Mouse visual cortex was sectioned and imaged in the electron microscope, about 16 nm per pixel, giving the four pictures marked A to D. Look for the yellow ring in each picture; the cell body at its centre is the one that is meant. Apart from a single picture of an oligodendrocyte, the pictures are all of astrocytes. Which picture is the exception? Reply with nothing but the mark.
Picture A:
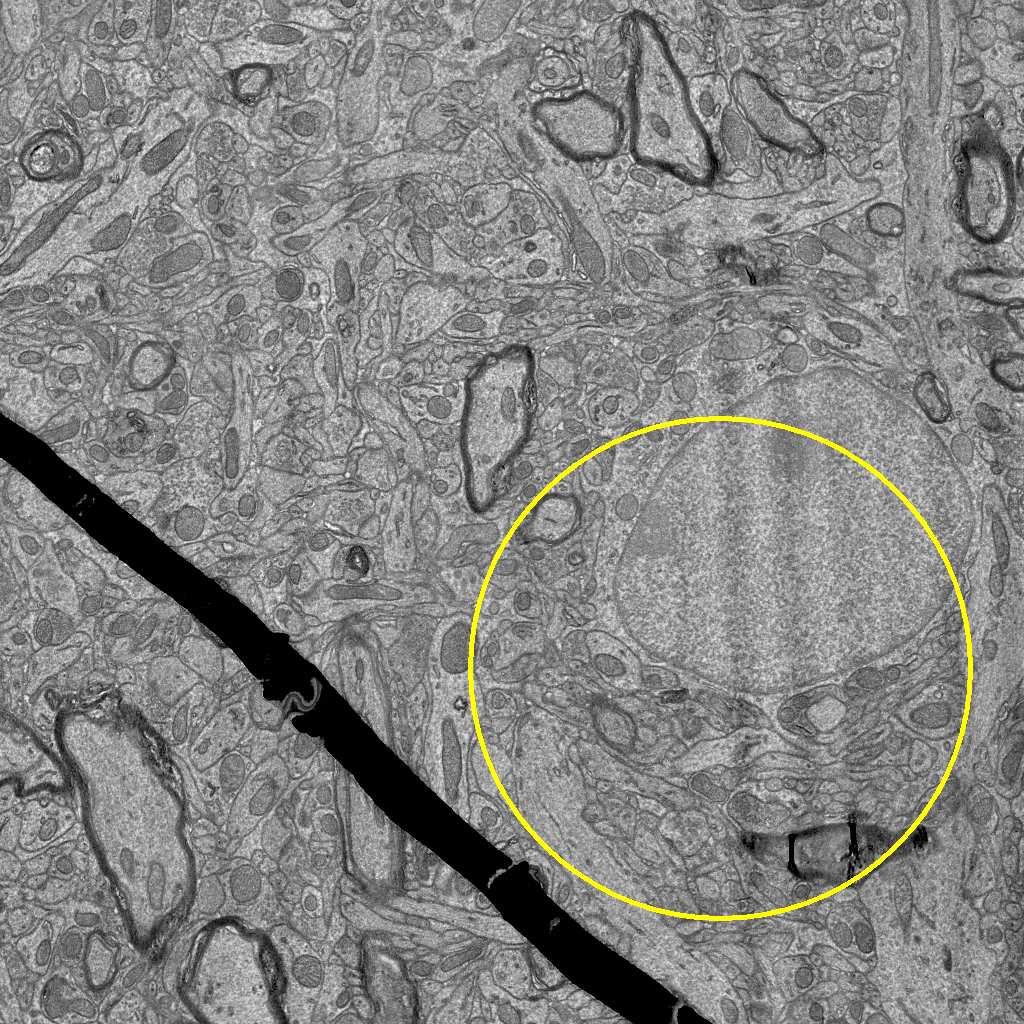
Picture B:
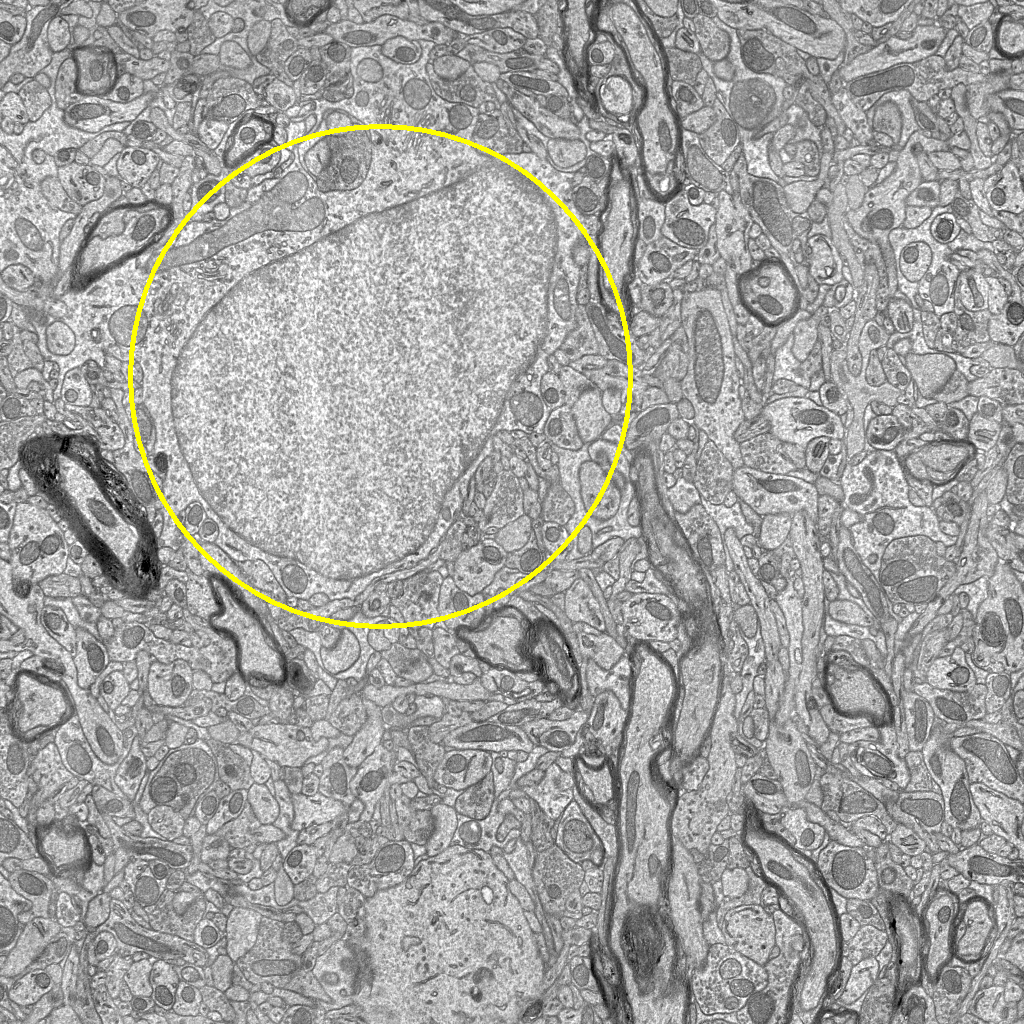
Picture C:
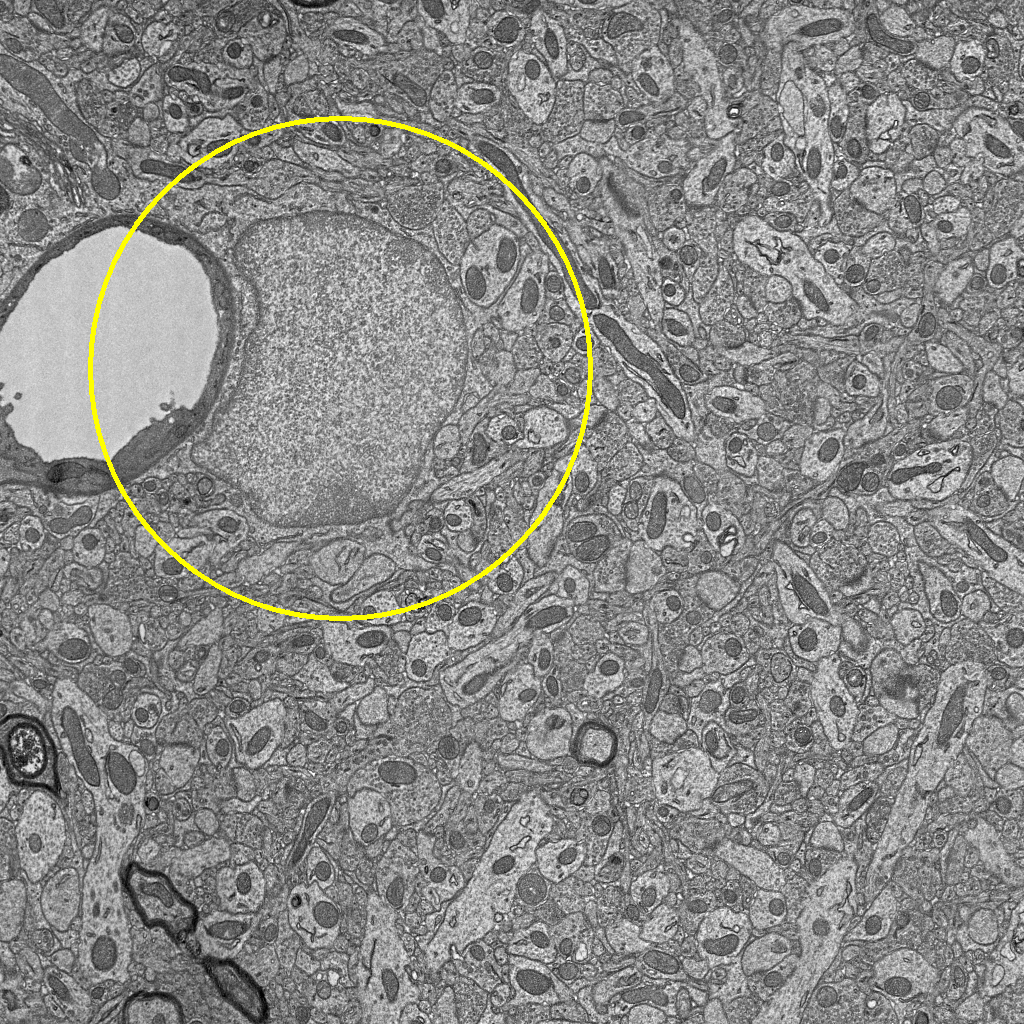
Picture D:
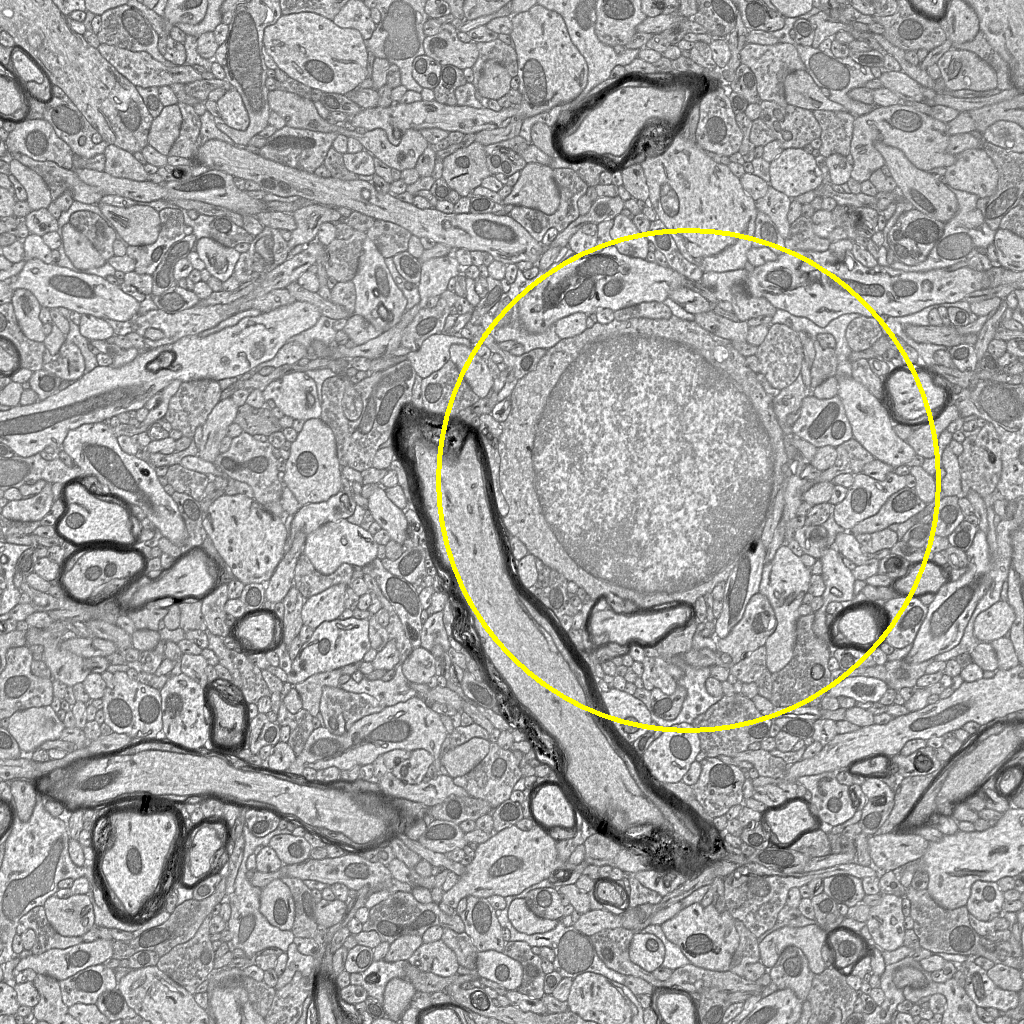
D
